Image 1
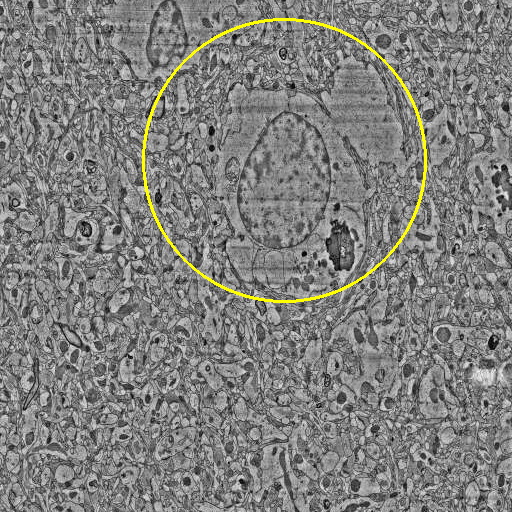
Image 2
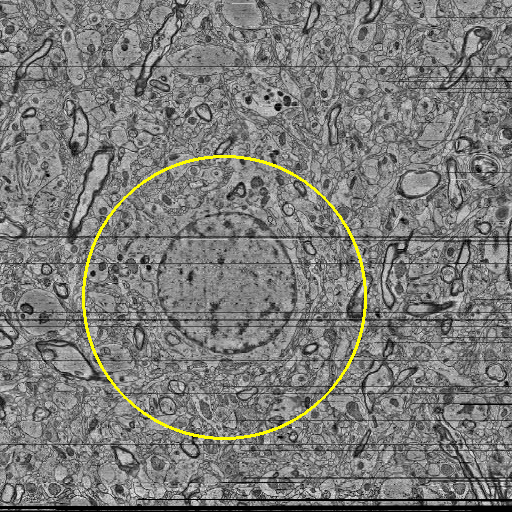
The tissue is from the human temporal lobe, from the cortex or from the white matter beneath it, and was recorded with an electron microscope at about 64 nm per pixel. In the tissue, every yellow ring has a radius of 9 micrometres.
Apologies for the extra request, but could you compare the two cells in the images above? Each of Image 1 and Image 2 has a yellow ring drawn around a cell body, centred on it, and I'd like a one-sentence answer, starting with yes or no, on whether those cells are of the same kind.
Yes, both cells are of the same kind.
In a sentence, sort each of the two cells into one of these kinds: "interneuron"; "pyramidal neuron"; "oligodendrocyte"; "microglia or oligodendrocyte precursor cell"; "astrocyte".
The cell in the first picture is an astrocyte, and so is the one in the second.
